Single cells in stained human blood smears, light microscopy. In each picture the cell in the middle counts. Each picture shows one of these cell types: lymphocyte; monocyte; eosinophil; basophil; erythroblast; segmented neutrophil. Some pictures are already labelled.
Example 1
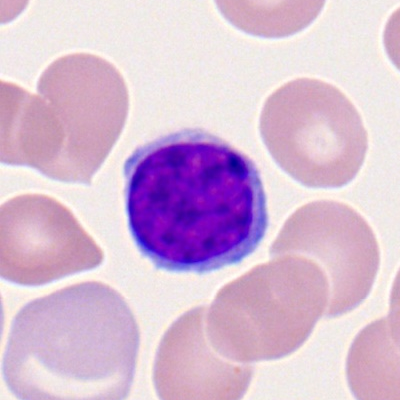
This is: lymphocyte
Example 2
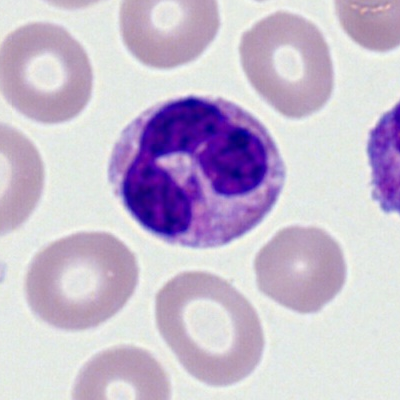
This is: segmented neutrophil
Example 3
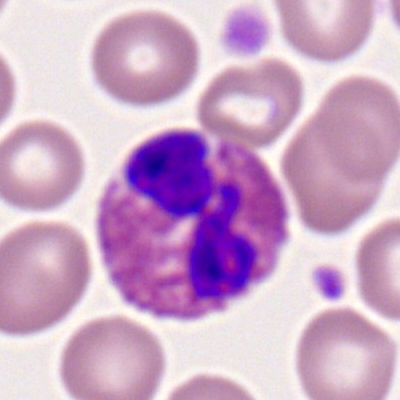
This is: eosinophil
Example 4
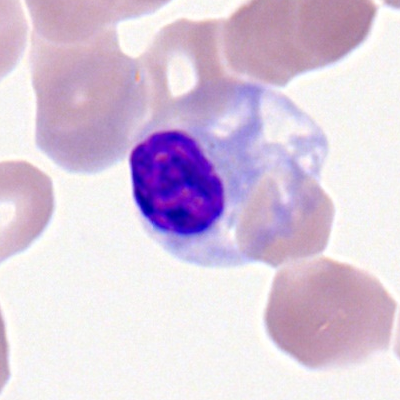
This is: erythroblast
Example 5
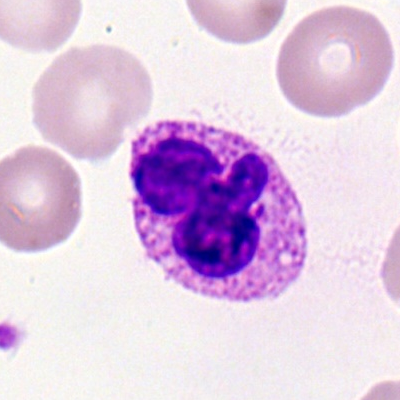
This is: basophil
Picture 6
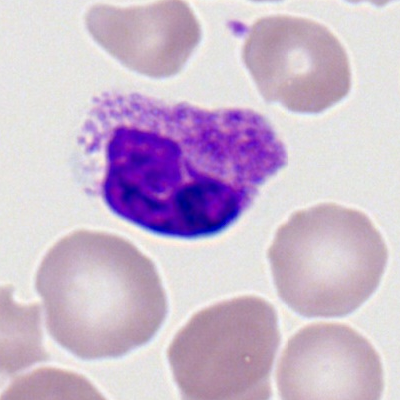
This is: basophil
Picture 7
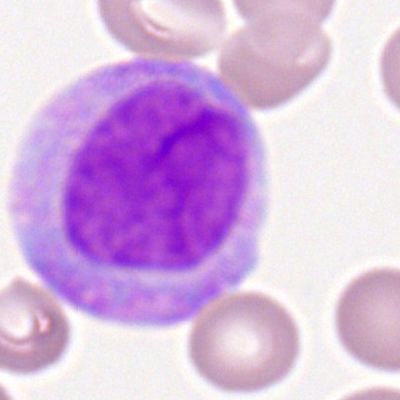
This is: monocyte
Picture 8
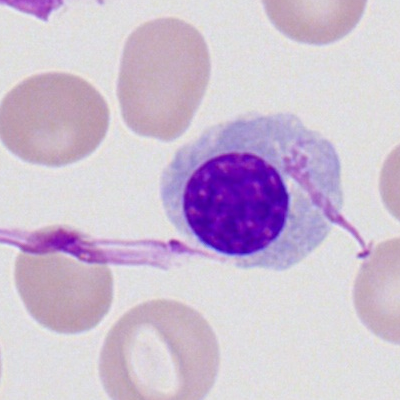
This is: erythroblast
